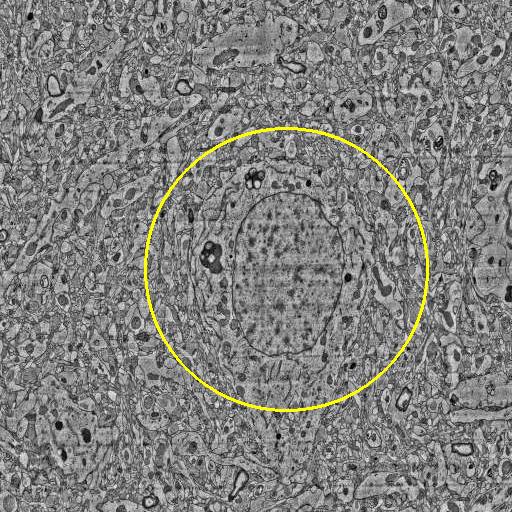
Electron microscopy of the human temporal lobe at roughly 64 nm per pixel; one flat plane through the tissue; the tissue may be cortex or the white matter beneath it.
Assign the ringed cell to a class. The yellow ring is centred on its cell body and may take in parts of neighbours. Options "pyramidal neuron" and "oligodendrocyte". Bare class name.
pyramidal neuron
